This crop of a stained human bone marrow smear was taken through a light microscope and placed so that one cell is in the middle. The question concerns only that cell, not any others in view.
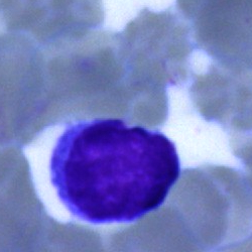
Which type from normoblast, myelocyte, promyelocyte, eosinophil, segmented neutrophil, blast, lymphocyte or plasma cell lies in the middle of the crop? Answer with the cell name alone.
lymphocyte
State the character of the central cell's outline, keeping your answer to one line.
Worth noting that the cell border is smooth and lacks projections.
